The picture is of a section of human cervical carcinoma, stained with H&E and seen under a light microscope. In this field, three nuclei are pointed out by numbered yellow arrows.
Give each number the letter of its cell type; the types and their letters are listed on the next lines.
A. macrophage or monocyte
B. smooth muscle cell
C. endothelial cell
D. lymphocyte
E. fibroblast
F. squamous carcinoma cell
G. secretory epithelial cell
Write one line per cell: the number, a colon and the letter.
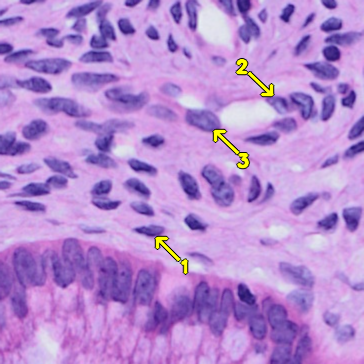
1: E
2: C
3: C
